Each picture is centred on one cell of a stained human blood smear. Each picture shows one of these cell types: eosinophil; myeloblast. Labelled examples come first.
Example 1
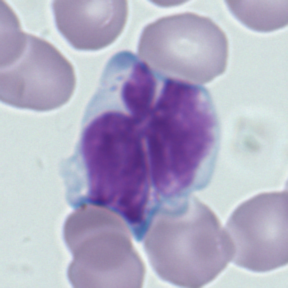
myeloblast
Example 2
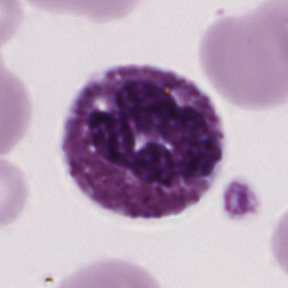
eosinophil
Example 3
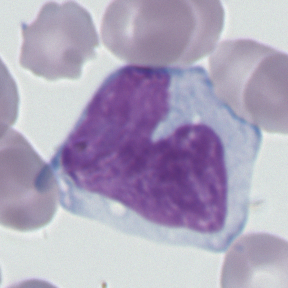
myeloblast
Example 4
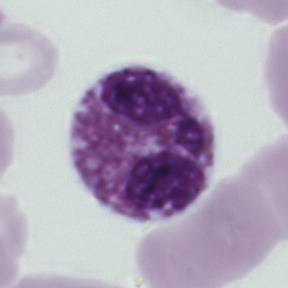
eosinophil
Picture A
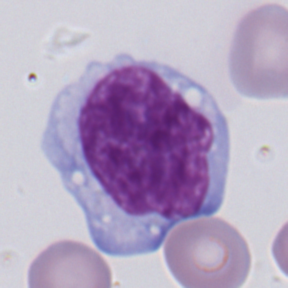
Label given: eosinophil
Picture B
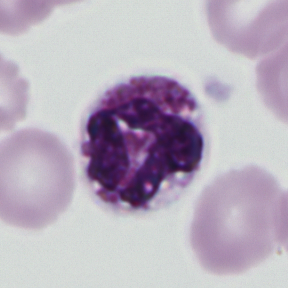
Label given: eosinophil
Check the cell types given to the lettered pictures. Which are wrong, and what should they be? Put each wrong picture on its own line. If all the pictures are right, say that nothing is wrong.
A is labelled eosinophil; correct label: myeloblast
